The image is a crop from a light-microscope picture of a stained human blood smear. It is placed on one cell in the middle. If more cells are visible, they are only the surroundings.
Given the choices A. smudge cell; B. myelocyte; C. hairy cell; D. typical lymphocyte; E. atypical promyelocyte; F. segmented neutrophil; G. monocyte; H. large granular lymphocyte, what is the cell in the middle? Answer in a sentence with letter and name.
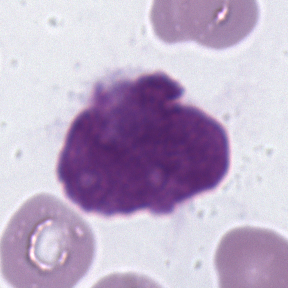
Well, the cell in the middle is a smudge cell, making option A right.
